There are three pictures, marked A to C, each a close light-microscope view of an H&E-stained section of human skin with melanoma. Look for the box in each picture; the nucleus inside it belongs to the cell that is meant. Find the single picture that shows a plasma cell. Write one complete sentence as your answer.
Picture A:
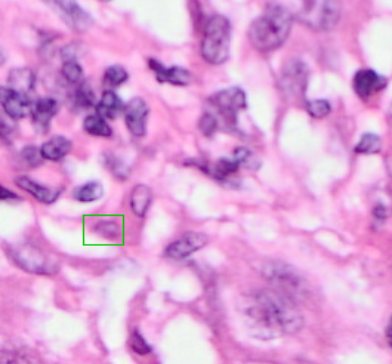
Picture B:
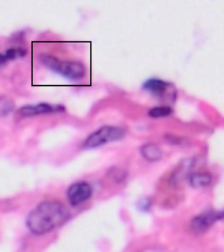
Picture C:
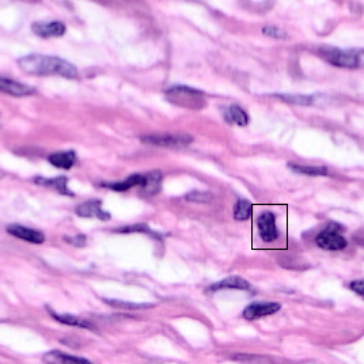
Picture C shows the plasma cell.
